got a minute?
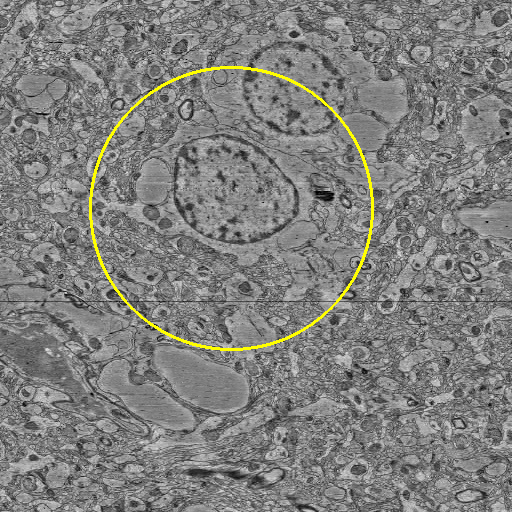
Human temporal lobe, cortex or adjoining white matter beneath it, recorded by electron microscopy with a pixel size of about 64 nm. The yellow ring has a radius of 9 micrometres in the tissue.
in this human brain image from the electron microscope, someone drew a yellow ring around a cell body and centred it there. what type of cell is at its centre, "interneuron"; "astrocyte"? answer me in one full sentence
It's an astrocyte at the middle of that yellow ring in the shot.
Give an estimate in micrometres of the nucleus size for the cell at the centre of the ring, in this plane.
About 8 by 7 micrometres in this plane.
